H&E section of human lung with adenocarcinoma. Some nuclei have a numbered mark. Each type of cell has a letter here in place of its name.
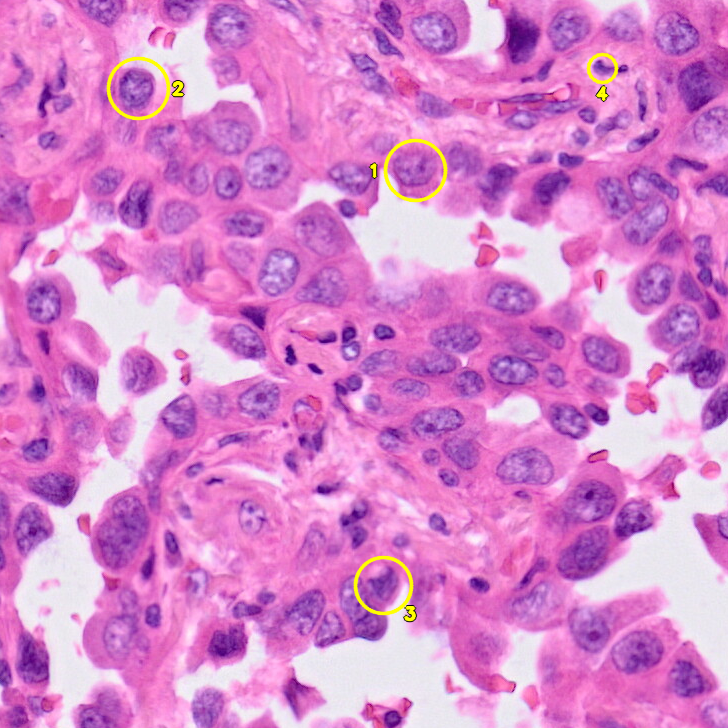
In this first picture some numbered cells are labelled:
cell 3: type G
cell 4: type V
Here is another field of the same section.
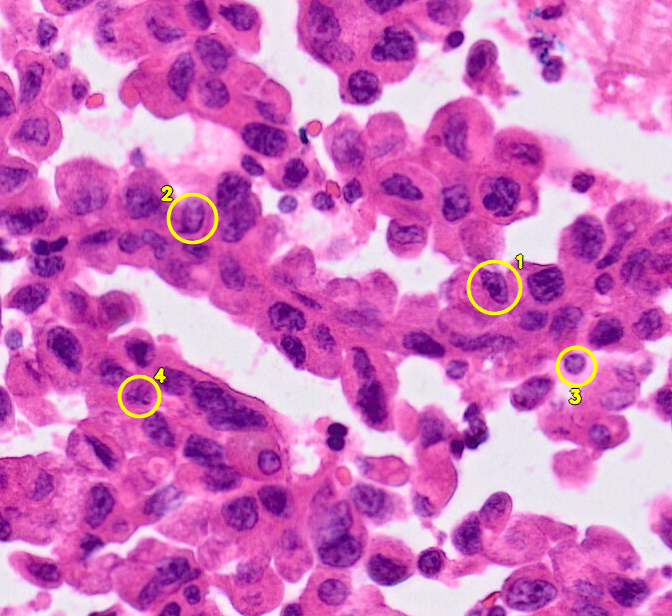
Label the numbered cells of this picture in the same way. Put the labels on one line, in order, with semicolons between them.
type G; type G; type V; type G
